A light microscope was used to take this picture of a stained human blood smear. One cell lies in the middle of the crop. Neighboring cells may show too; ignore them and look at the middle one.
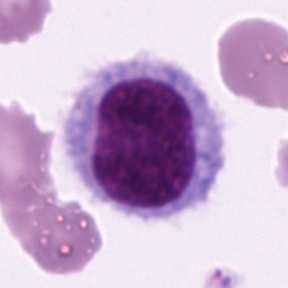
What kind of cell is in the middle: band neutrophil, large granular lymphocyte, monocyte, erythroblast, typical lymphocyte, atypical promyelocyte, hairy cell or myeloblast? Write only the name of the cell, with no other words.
hairy cell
